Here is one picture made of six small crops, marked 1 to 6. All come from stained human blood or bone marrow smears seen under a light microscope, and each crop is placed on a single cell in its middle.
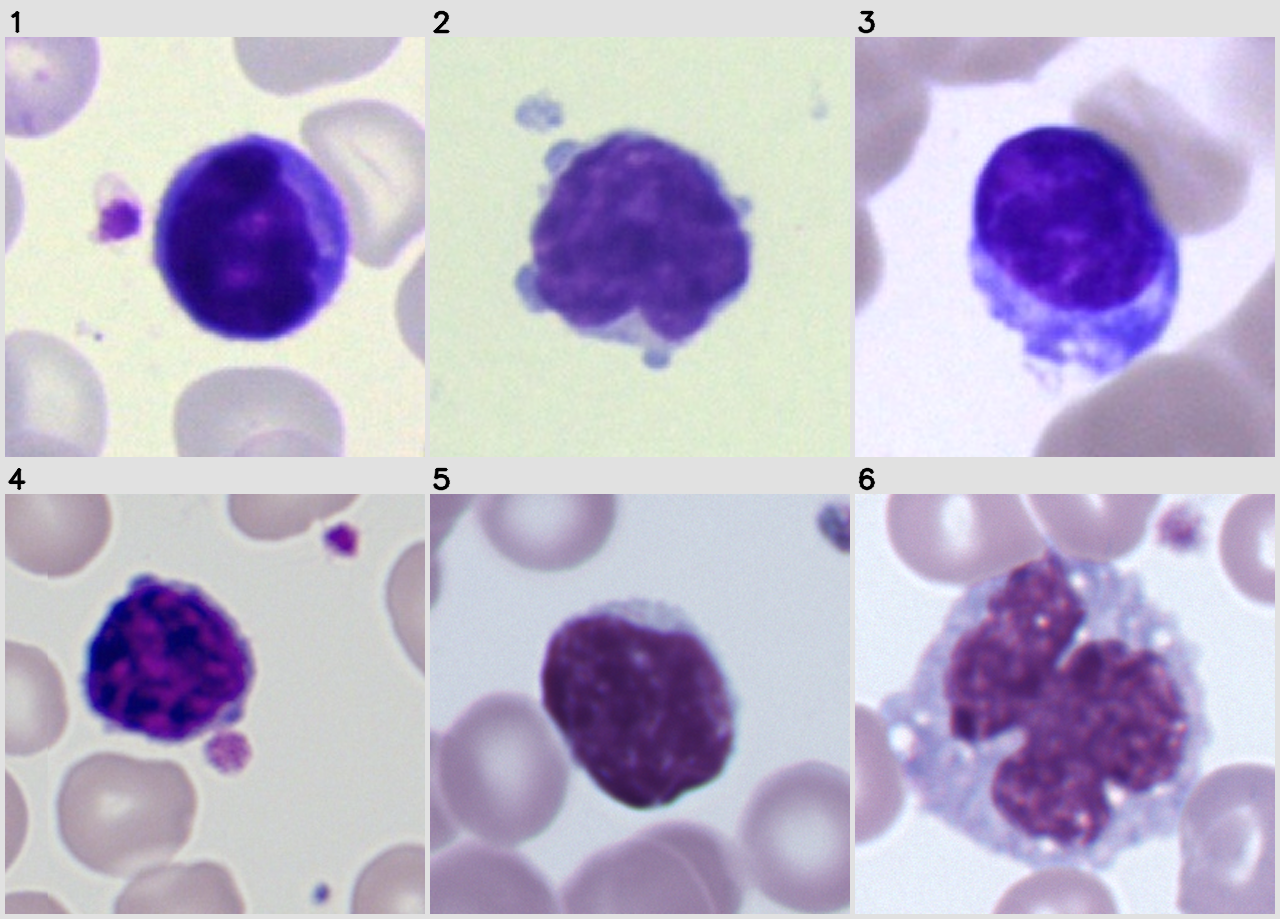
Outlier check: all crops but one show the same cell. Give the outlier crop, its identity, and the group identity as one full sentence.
The odd one out is crop 6, a monocyte, and all other crops show lymphocytes.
